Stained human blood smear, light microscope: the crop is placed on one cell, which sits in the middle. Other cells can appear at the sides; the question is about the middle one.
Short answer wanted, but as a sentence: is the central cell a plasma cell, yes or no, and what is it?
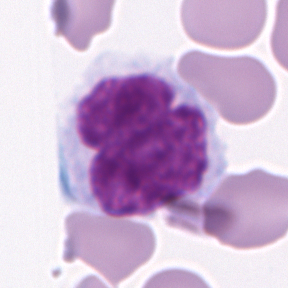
No, the cell sitting in the centre of the crop is a hairy cell, not a plasma cell.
